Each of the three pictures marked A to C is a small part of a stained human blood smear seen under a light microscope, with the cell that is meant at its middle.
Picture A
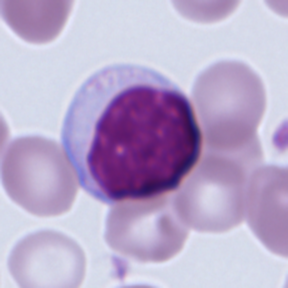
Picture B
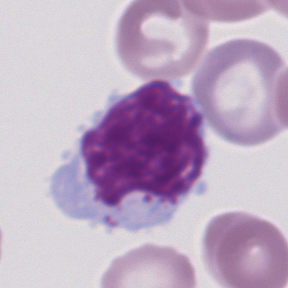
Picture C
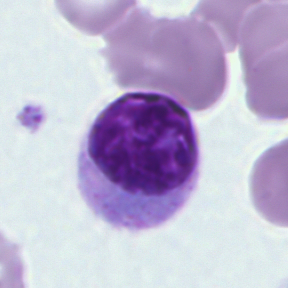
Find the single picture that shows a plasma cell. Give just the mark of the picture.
C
